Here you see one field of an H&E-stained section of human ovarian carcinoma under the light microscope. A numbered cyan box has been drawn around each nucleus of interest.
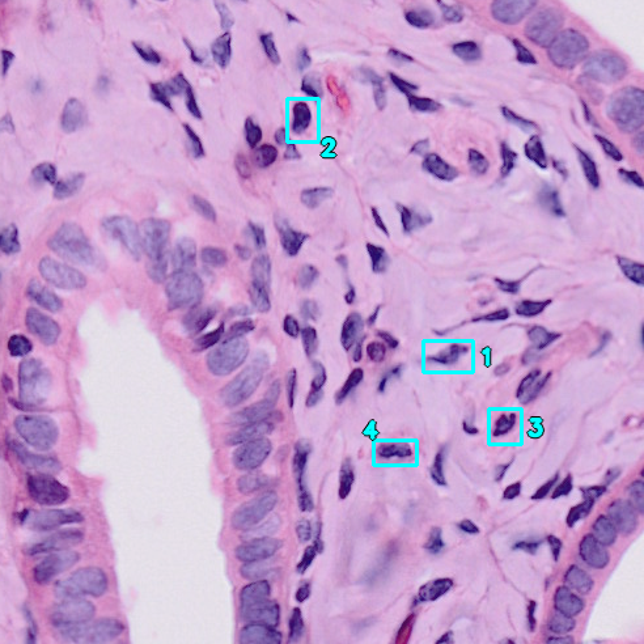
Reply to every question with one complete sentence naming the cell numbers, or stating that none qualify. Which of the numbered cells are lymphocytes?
Of the cells bearing numbers, the only one that is a lymphocyte is cell 2.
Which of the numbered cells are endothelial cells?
Marked by the numbers 3 and 4 are cells that are endothelial cells.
